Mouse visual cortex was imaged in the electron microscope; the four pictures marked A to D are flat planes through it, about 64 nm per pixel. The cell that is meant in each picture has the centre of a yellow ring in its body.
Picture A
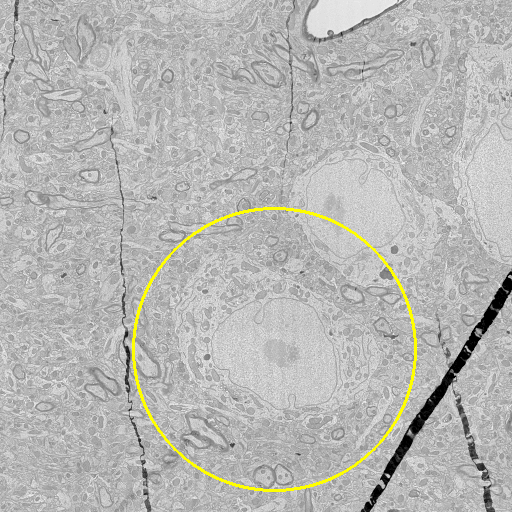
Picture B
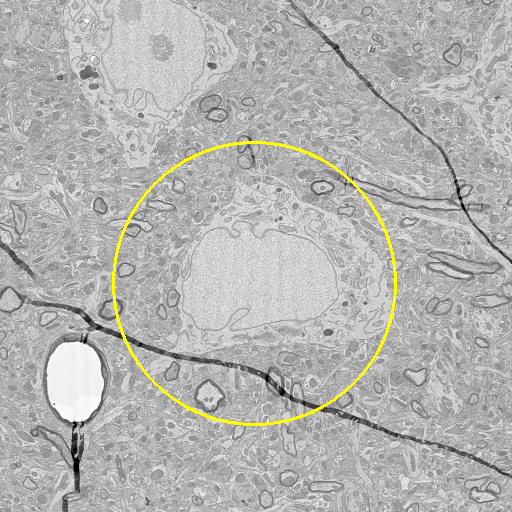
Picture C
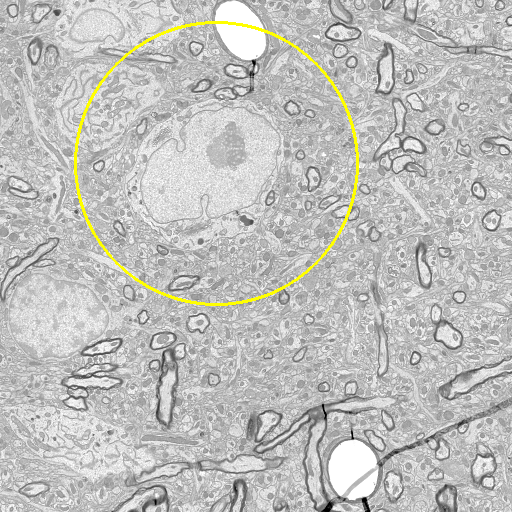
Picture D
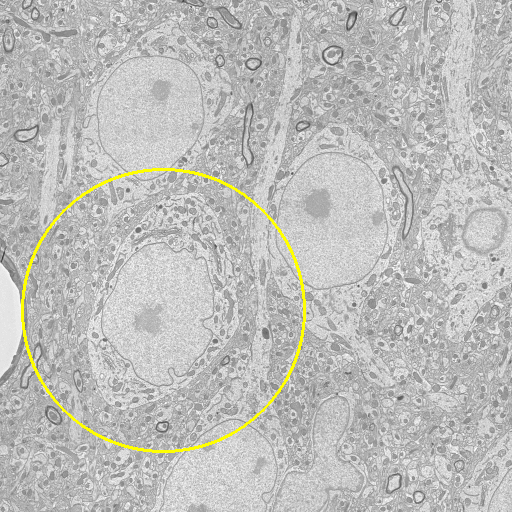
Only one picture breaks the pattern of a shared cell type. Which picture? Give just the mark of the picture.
B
